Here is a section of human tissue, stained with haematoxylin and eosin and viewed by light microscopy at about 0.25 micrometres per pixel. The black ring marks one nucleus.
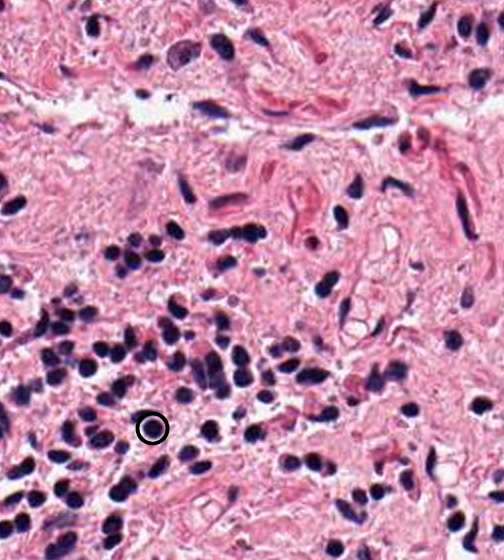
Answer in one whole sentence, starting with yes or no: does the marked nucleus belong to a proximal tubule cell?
No, it is a supporting cell whose nucleus is marked, not a proximal tubule cell.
